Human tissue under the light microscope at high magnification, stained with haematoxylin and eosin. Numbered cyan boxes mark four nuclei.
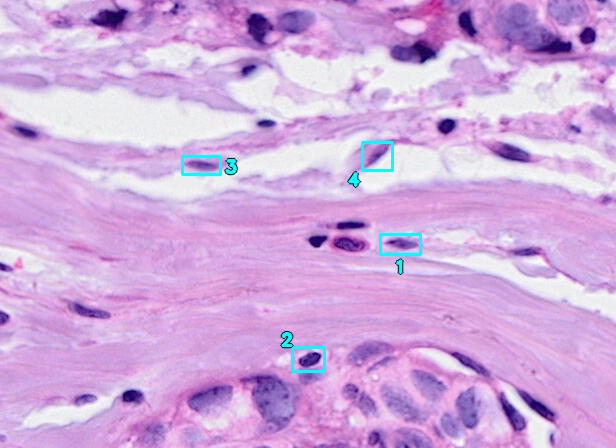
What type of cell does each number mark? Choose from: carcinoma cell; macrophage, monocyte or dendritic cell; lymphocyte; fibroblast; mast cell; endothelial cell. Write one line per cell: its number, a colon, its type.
1: fibroblast
2: lymphocyte
3: fibroblast
4: fibroblast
